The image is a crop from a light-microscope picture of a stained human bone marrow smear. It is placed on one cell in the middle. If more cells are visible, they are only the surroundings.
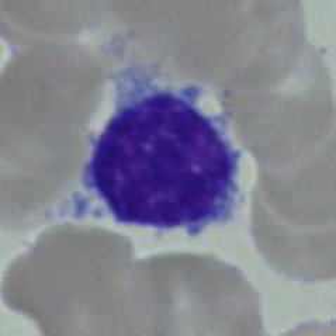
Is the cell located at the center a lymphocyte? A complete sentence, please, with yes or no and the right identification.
Yes, the cell at the very centre of the crop is a lymphocyte.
